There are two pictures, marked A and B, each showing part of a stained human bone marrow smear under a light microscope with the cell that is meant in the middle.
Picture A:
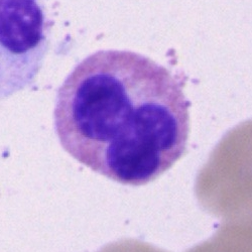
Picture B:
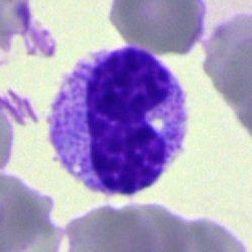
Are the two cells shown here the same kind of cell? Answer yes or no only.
no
